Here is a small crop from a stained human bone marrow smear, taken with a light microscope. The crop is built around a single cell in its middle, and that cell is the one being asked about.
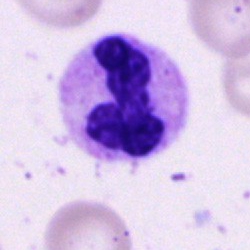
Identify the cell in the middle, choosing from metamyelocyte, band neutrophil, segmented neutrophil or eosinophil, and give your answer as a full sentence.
The cell marked by its central position in the crop is a segmented neutrophil.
